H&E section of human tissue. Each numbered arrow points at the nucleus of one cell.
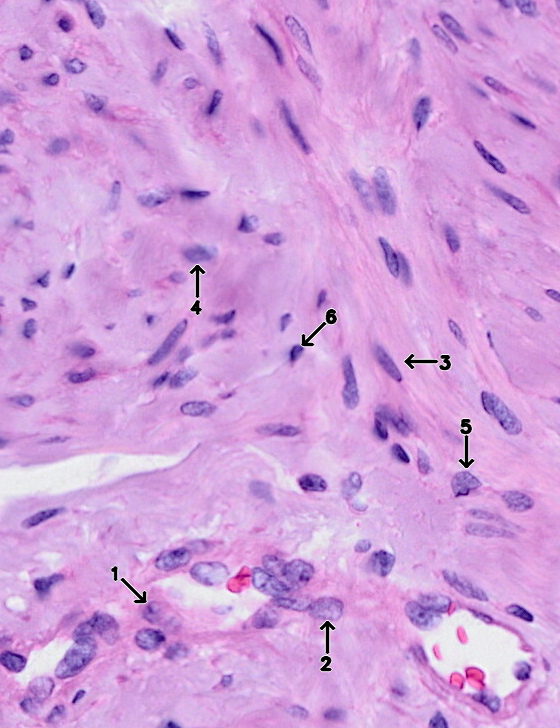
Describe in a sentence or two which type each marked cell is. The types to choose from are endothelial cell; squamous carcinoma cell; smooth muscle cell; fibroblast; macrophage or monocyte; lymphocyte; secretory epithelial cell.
Cell 1 is an endothelial cell, cell 2 is an endothelial cell, cell 3 is a fibroblast, cell 4 is a fibroblast, cell 5 is a fibroblast and cell 6 is a fibroblast.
